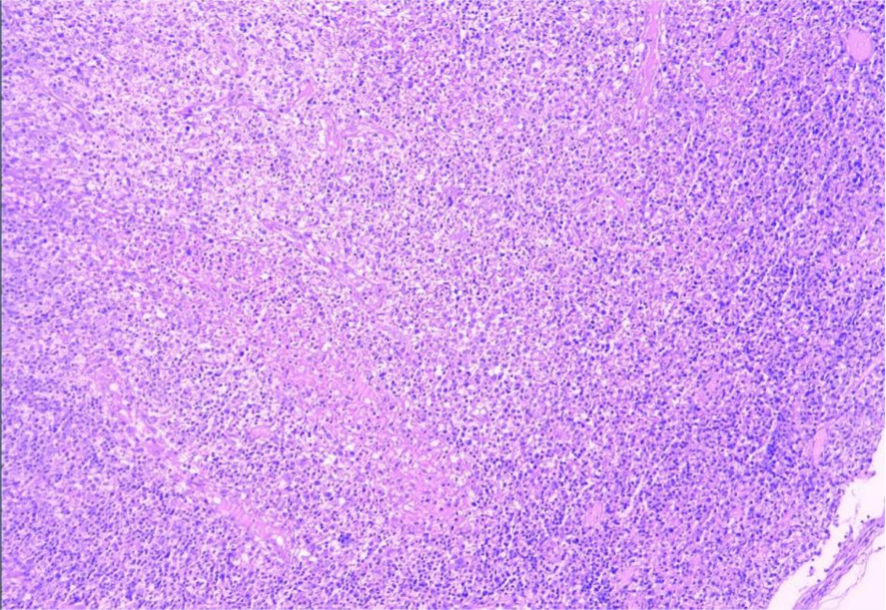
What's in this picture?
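At low power, this lymph node has lost its normal architecture. No follicles can be seen, and the node is replaced by a diffuse sheet of cells. Irregular paler pink patches of necrosis lie in the middle of the field and are surrounded by many histiocytes with pale, clear to pink cytoplasm. Denser small dark-staining lymphocytes lie toward the periphery.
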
